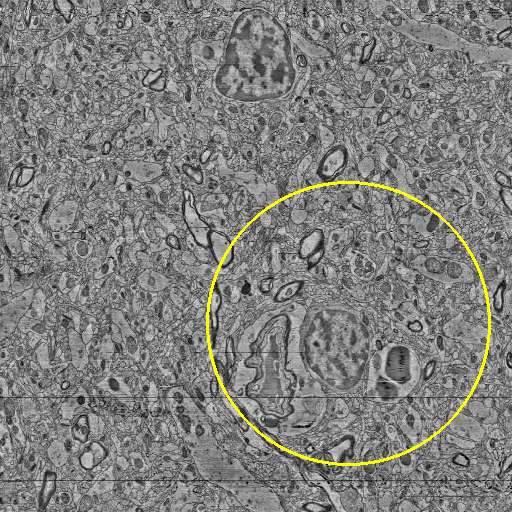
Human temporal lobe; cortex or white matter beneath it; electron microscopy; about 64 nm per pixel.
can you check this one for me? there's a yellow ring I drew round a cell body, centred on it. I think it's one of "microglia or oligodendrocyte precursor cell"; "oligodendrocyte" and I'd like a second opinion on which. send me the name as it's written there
oligodendrocyte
